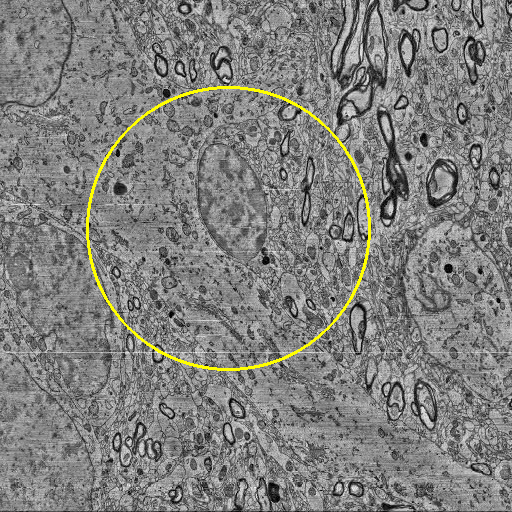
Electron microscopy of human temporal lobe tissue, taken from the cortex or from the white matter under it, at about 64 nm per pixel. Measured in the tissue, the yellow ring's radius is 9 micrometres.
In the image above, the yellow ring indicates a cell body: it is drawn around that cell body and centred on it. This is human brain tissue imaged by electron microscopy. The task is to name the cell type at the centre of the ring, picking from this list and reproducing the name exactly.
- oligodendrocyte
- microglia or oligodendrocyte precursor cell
oligodendrocyte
